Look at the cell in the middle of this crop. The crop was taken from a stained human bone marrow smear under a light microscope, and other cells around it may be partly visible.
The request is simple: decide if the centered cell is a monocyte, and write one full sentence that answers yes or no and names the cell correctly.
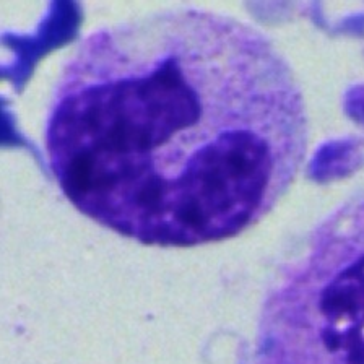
No, the central cell does not count as a monocyte; it is a band neutrophil.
